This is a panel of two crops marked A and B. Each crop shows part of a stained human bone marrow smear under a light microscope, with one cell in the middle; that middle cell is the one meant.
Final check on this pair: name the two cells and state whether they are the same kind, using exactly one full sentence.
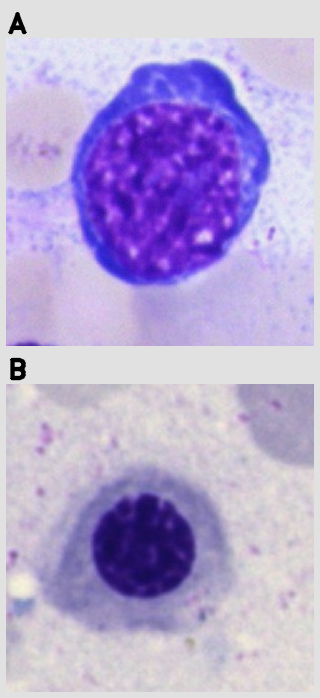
Yes, both crops have normoblasts as their central cells.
